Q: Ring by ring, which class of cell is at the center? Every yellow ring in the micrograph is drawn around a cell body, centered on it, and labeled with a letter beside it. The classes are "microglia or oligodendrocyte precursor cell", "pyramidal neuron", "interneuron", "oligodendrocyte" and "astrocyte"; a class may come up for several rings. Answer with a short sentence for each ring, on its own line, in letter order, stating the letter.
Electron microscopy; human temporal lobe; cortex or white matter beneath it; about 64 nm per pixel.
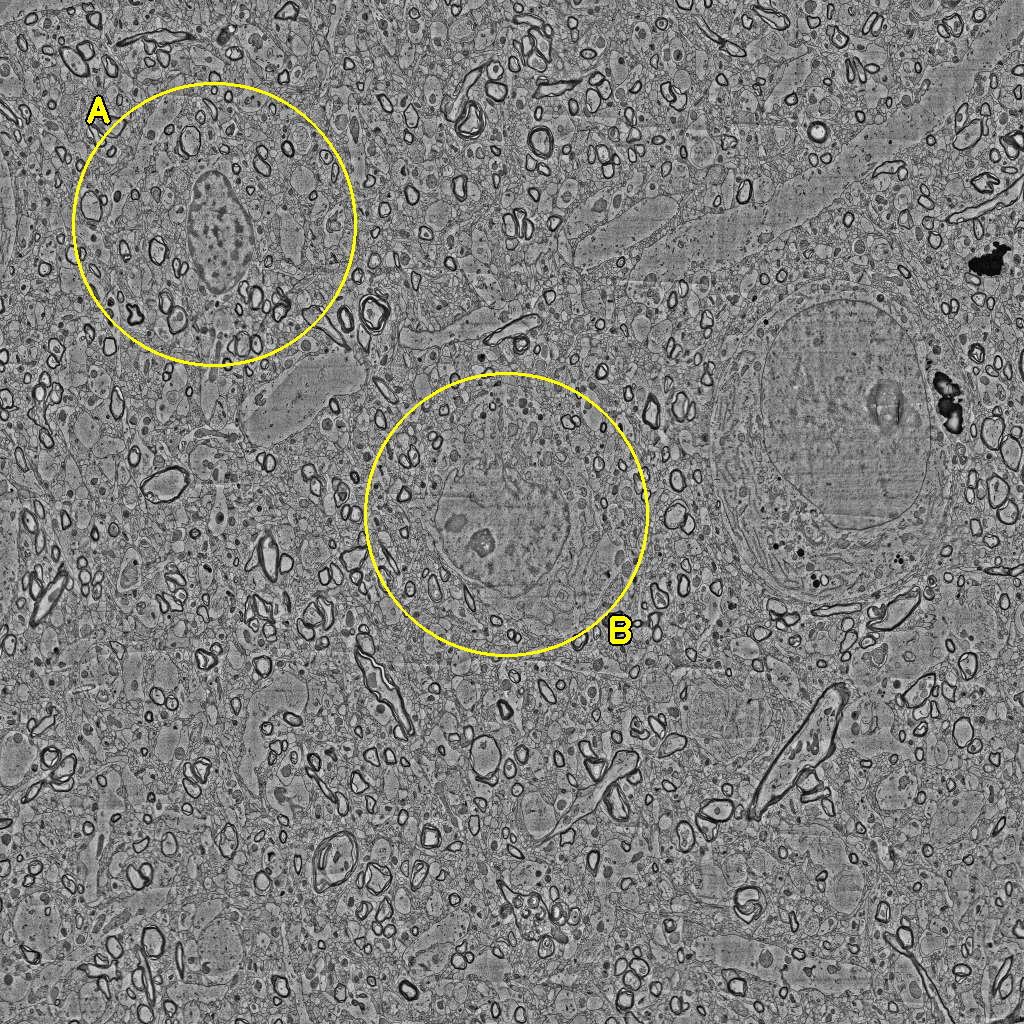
Ring A holds a microglial cell or oligodendrocyte precursor cell at its center.
Ring B holds an interneuron at its center.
